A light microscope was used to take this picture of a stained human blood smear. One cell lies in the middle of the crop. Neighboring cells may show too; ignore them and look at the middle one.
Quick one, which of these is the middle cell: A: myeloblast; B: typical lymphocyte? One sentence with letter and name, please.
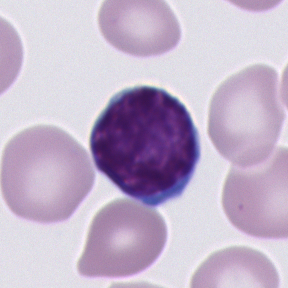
Option B is the right choice, the central cell being a typical lymphocyte.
